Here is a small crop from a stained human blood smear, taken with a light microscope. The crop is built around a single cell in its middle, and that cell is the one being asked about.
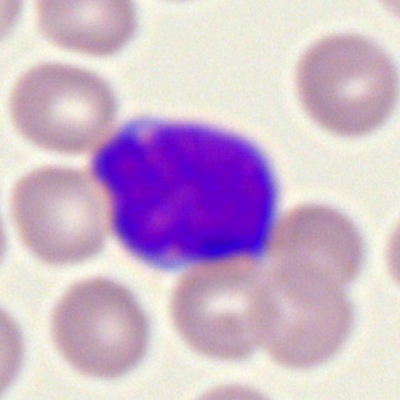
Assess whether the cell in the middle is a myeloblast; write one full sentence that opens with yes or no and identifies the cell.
Yes, in the centre of this field sits a myeloblast.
